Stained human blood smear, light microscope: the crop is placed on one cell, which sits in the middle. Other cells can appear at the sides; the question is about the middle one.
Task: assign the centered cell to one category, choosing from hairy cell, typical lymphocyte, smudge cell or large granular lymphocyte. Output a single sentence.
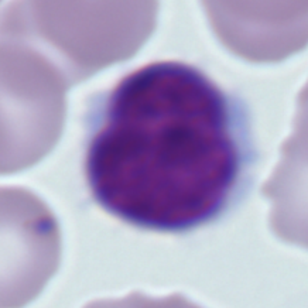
In short, the cell at the center is a hairy cell.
